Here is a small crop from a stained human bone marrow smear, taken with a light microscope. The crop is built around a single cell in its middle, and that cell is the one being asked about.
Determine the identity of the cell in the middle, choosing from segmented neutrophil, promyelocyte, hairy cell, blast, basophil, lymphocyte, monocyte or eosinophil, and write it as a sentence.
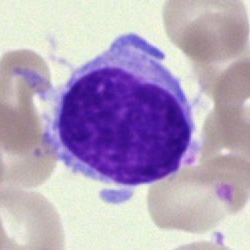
For this crop, the central cell is a hairy cell.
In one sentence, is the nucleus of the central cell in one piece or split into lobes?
Round, oval or kidney-shaped, the nucleus is one compact mass.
